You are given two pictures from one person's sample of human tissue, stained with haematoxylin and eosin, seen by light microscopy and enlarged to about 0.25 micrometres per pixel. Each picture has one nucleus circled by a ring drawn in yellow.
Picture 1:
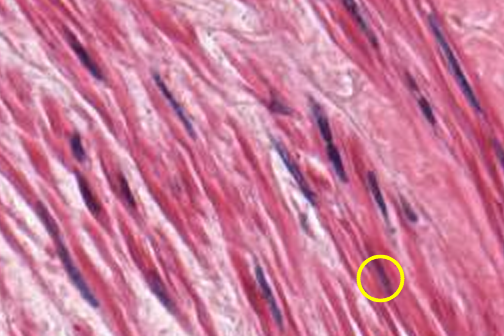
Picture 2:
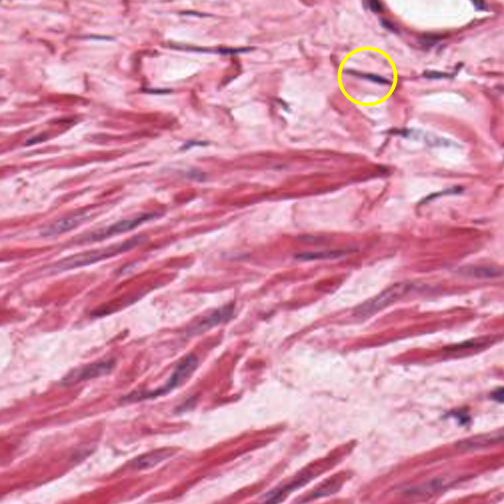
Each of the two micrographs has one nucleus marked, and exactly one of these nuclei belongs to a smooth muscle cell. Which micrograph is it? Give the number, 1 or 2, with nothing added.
1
